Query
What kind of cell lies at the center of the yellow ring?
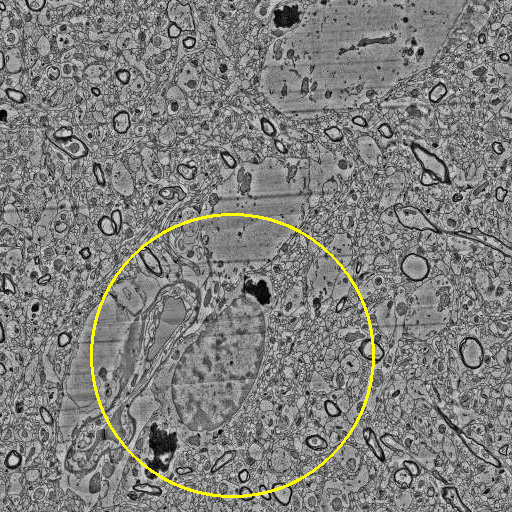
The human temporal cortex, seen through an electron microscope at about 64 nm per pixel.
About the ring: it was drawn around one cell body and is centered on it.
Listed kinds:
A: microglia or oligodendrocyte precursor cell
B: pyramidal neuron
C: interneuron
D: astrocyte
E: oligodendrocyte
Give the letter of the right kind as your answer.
E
